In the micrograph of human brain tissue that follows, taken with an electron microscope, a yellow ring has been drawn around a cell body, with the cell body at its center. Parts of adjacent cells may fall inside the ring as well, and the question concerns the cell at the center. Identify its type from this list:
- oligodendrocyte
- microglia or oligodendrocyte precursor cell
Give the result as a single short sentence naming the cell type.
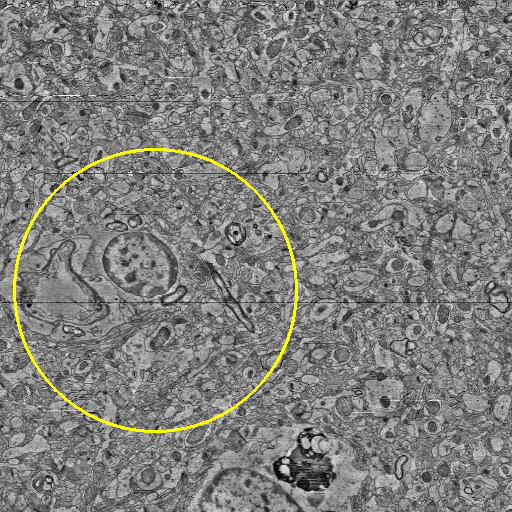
The ring is centered on a microglial cell or oligodendrocyte precursor cell.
